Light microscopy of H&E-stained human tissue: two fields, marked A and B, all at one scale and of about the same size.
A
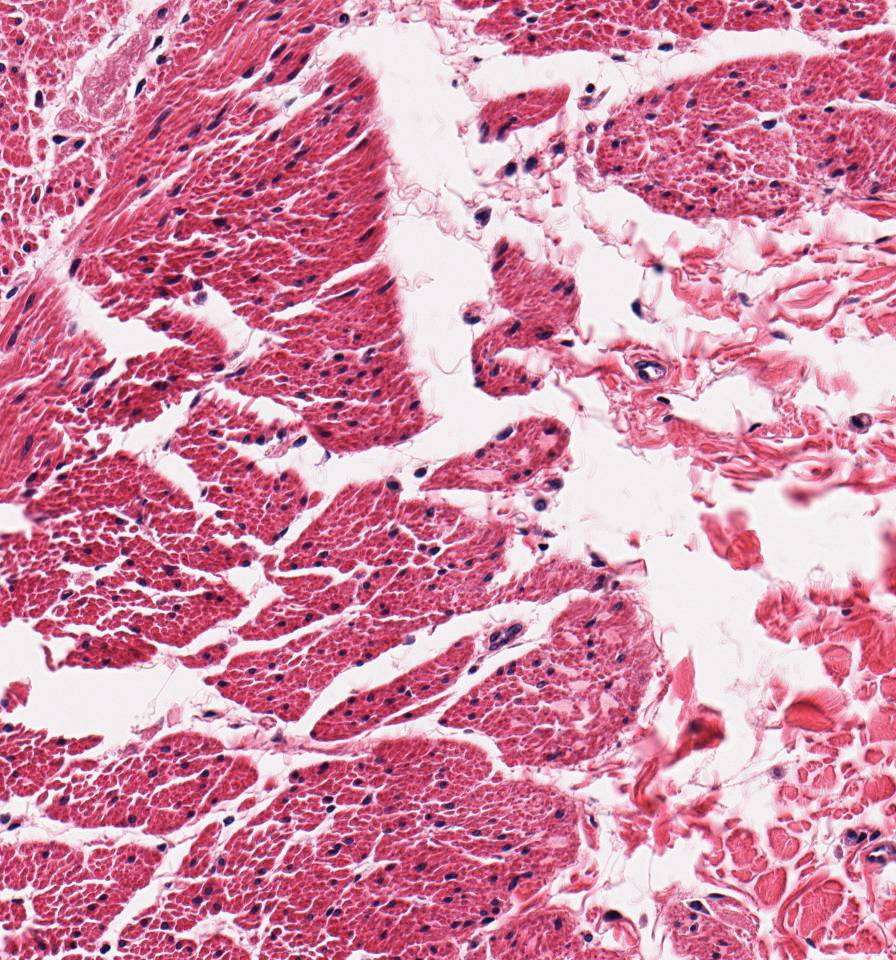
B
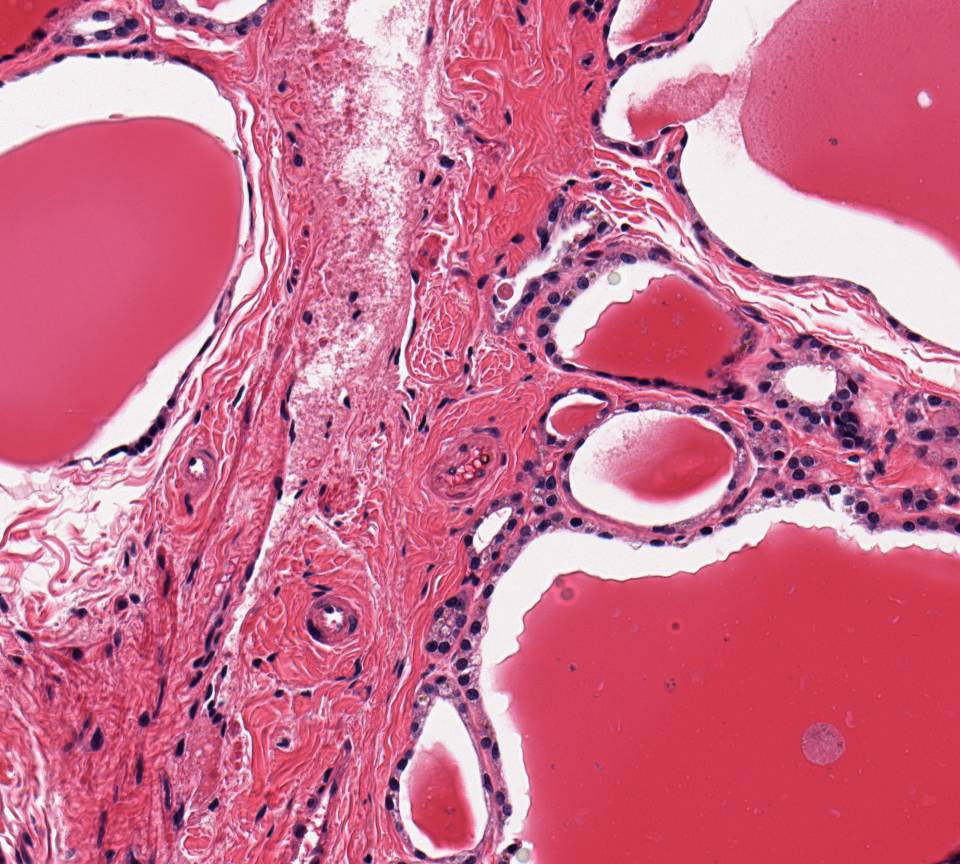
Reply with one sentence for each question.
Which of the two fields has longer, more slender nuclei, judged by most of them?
It is field B whose nuclei are the more elongated.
